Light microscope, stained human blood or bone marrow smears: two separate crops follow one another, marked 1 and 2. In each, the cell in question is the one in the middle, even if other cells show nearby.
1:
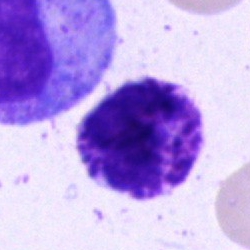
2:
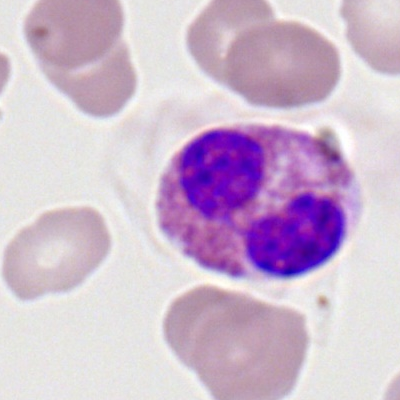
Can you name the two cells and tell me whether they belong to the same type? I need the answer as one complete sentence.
No, it is a basophil in crop 1 and an eosinophil in crop 2.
